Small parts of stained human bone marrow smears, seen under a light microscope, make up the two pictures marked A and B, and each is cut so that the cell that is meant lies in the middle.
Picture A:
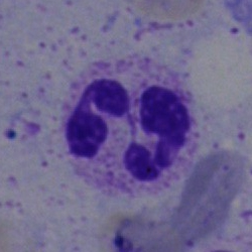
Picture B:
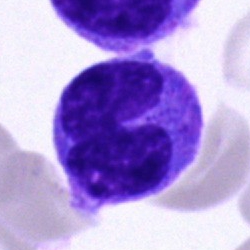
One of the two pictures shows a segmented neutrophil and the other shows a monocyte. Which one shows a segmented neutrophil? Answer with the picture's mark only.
A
